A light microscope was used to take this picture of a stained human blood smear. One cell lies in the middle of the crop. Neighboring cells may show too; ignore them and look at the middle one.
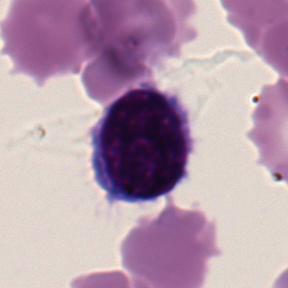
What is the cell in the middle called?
hairy cell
